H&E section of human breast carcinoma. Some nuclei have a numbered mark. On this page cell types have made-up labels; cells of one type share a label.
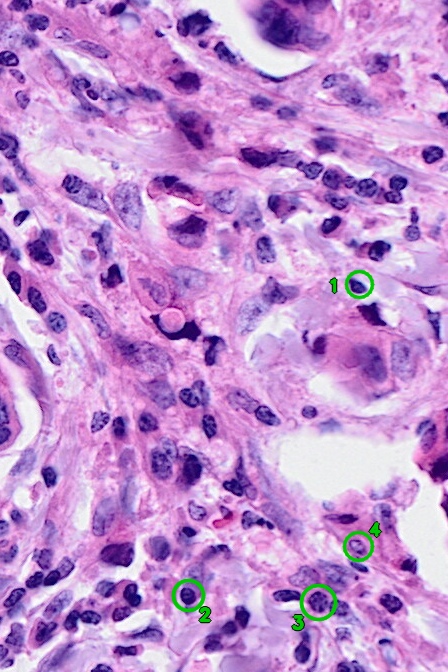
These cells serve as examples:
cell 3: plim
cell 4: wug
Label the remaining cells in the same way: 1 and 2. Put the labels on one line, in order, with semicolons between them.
plim; plim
